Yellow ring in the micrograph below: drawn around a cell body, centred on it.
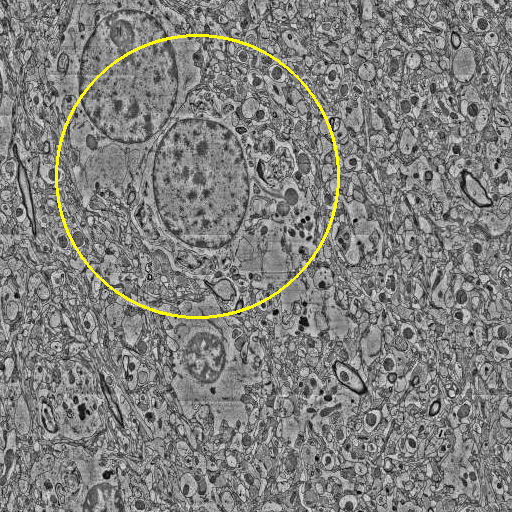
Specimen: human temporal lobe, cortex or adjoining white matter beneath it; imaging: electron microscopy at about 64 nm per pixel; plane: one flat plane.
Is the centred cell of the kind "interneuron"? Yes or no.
no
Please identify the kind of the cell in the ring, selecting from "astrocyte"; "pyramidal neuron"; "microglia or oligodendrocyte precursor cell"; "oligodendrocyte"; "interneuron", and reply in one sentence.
Instead, the ring in this picture marks an astrocyte.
